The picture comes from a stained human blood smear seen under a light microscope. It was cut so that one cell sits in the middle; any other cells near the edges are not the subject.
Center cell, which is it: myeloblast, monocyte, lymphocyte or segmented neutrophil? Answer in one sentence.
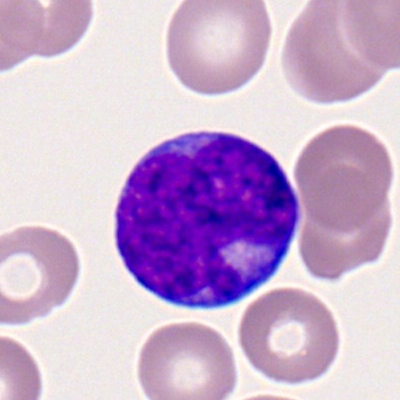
The central cell, amid any neighbouring cells, is a myeloblast.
